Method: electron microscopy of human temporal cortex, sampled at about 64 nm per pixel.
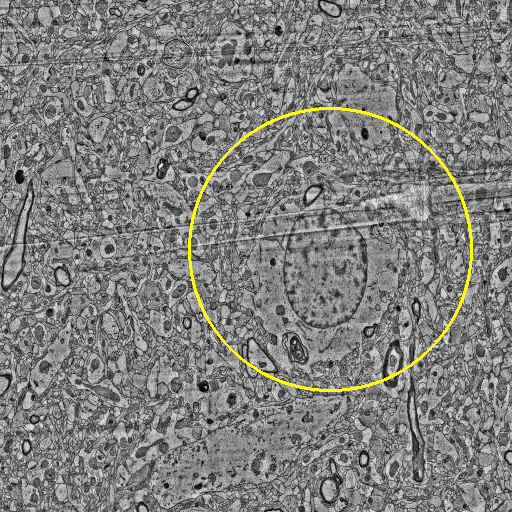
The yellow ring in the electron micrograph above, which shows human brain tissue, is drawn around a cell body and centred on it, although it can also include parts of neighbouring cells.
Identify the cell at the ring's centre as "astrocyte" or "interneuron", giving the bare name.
astrocyte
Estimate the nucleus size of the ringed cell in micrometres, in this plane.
Roughly 7 by 6 micrometres is the size of the nucleus in this plane.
